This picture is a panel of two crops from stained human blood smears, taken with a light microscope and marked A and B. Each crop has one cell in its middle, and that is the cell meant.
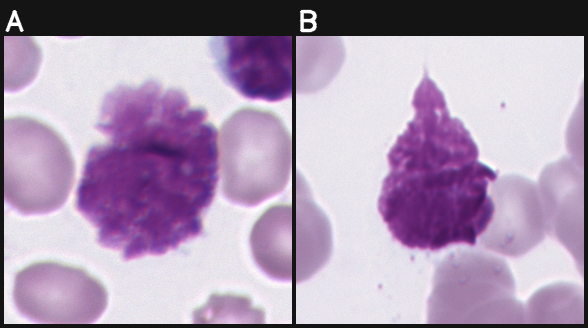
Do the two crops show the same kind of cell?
yes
